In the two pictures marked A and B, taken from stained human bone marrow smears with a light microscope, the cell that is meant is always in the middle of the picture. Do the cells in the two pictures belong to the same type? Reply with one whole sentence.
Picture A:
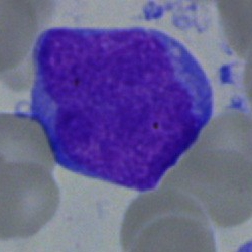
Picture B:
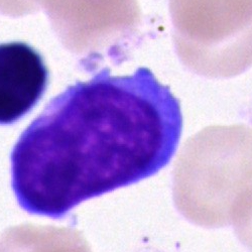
Yes; the cells in both pictures are blasts.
